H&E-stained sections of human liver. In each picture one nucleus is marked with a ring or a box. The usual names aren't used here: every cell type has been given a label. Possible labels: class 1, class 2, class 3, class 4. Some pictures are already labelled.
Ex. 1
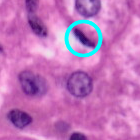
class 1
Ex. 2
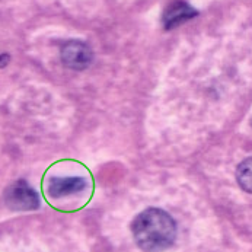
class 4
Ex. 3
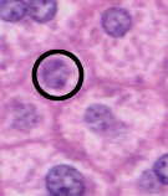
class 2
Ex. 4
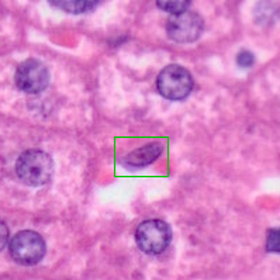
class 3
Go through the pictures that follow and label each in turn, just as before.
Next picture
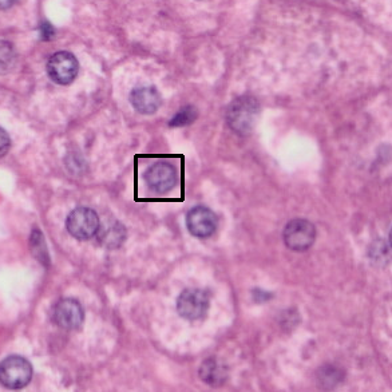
class 2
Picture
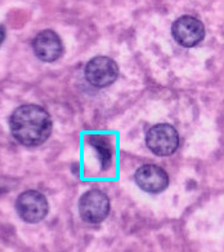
class 1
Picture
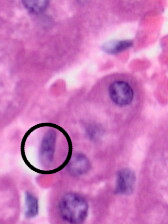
class 3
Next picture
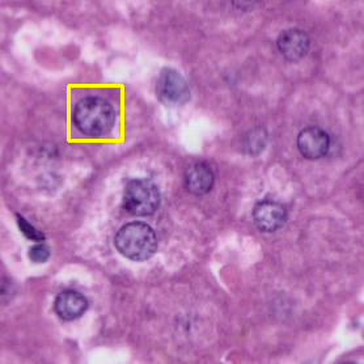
class 2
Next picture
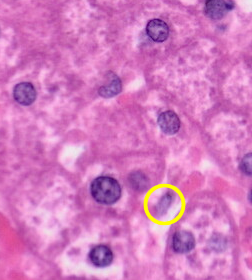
class 3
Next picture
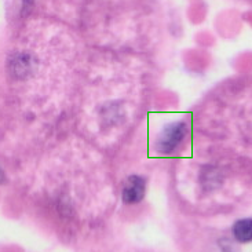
class 1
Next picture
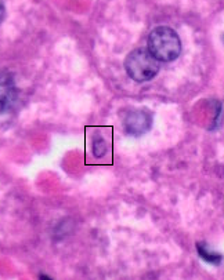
class 3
